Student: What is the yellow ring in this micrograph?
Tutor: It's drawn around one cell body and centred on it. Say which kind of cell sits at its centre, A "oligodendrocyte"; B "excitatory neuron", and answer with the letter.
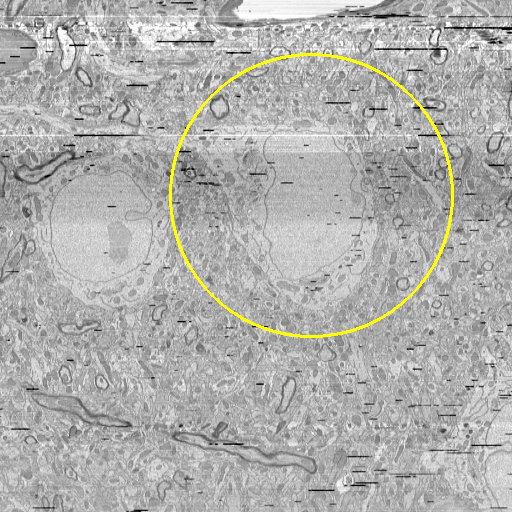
B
